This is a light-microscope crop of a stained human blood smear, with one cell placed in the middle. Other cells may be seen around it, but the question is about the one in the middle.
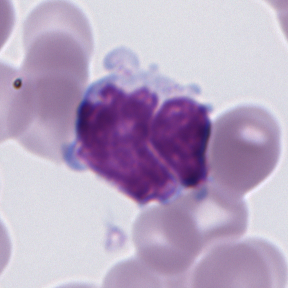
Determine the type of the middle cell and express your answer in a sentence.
At the crop's centre, the cell is a large granular lymphocyte.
